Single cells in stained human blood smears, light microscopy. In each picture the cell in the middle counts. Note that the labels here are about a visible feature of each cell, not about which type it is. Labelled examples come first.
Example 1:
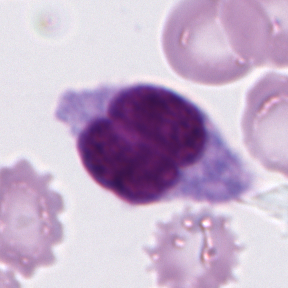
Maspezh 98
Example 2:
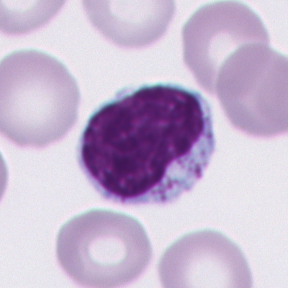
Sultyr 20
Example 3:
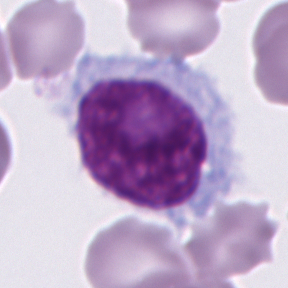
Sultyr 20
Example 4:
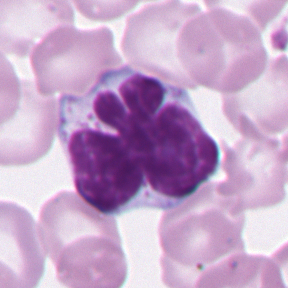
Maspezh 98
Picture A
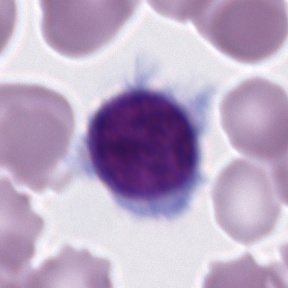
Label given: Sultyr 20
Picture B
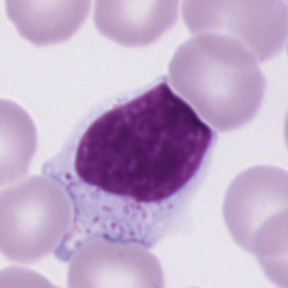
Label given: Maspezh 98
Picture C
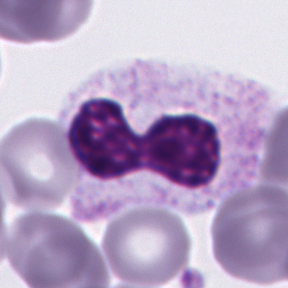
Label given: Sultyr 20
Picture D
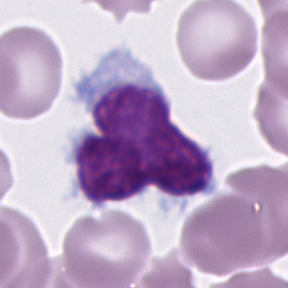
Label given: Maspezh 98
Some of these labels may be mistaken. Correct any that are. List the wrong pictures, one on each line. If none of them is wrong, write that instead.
B should be Sultyr 20, not Maspezh 98
C should be Maspezh 98, not Sultyr 20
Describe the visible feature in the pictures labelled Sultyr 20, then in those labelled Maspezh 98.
Seen in Sultyr 20: single compact nucleus; seen in Maspezh 98: lobed nucleus.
